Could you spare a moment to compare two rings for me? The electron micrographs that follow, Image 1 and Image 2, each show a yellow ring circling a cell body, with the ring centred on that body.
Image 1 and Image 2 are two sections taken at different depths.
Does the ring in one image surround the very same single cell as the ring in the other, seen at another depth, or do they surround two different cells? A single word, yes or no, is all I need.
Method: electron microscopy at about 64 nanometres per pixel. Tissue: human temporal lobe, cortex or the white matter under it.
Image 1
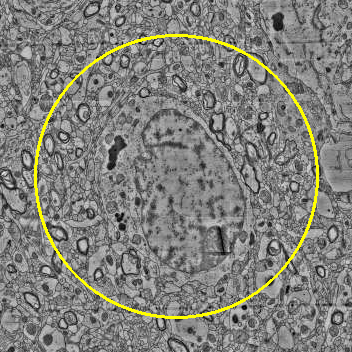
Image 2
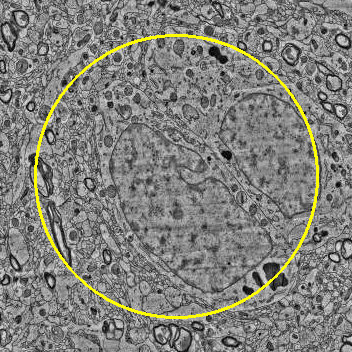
no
